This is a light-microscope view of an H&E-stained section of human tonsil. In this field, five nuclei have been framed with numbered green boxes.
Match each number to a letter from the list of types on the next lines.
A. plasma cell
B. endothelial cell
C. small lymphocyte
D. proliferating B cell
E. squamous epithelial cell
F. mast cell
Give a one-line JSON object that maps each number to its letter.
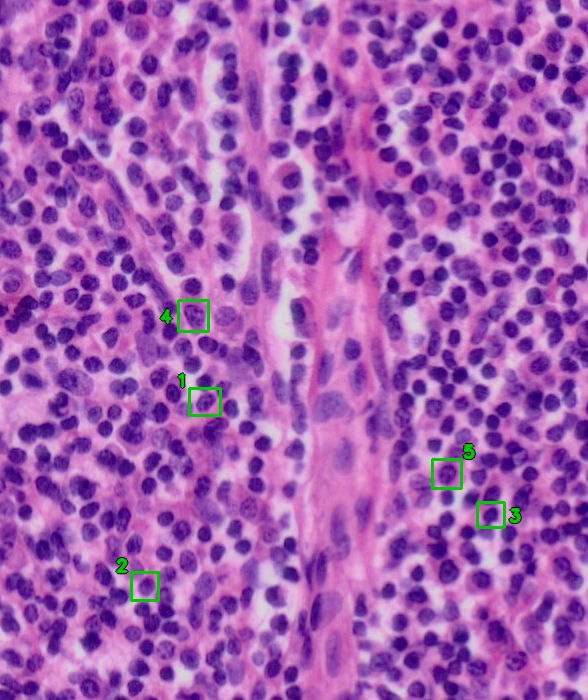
{"1": "C", "2": "C", "3": "C", "4": "A", "5": "A"}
